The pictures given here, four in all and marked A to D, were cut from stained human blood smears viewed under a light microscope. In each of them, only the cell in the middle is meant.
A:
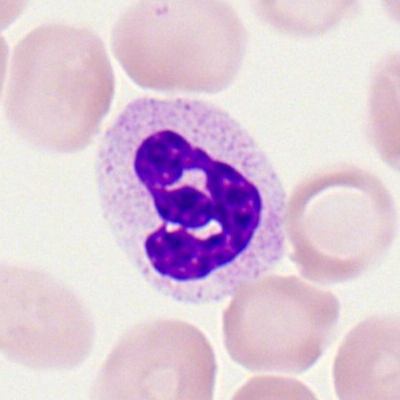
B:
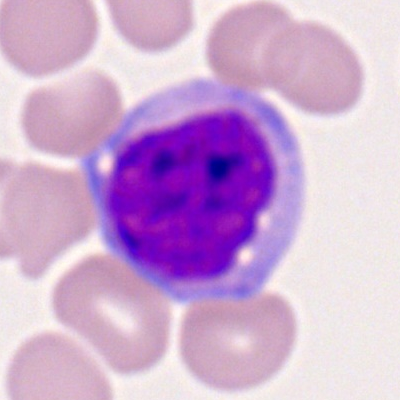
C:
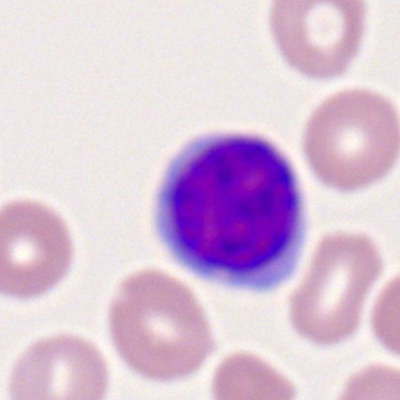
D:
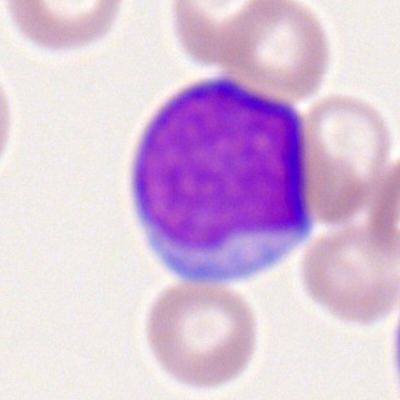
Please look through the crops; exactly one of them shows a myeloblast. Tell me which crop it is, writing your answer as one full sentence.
Selected crop: D, which is the one that shows a myeloblast.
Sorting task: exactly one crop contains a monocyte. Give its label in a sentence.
Crop B represents a monocyte, while the other crops do not.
